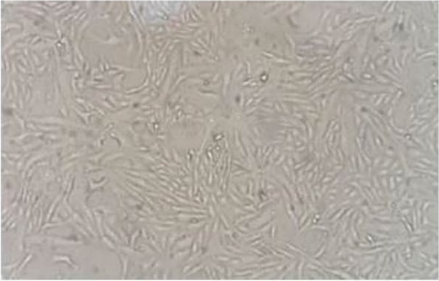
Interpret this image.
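Most cells are elongated and spindle-shaped, with tapering ends. They lie close beside one another and are often aligned in parallel streams and swirls, so that the layer appears nearly continuous across the field. Few cells are rounded, and there are few empty gaps between cells. The overall texture is even and fibrous, the look of a dense, attached monolayer.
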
